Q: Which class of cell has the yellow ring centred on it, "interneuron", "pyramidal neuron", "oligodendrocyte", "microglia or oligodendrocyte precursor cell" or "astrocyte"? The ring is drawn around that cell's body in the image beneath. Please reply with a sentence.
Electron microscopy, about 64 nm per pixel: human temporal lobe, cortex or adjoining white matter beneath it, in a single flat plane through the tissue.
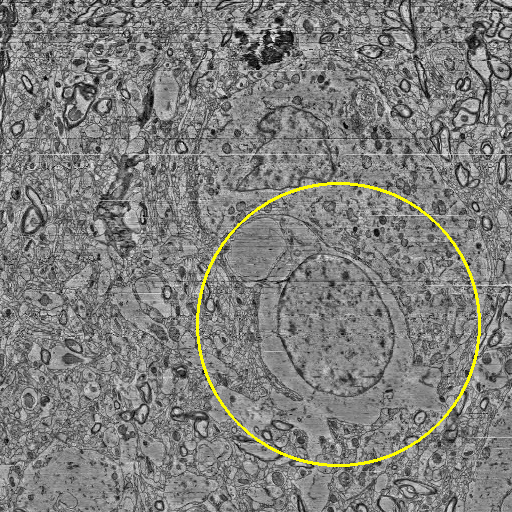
It is centred on an astrocyte.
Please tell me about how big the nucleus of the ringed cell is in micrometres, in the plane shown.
In this plane the nucleus is about 10 micrometres by 7.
